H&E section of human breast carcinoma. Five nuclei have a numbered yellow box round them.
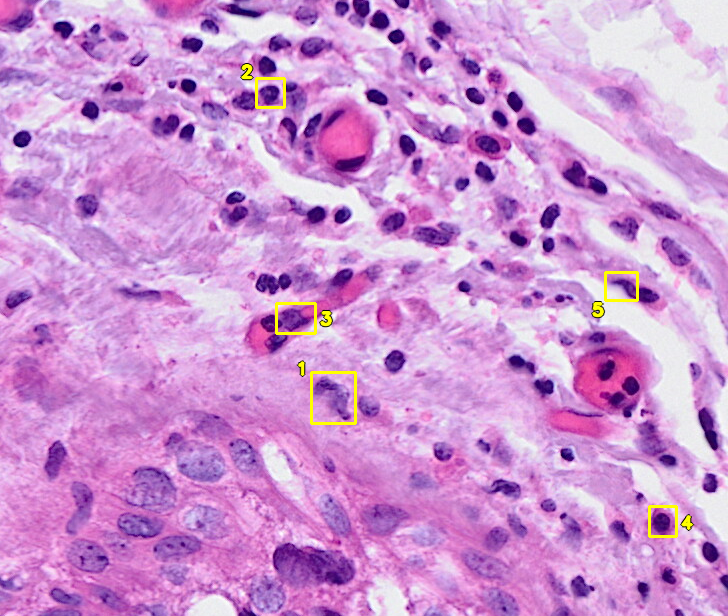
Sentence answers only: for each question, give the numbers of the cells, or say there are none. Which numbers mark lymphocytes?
Among the marked cells, cell number 2 alone is a lymphocyte.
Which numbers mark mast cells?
Just one of the numbered cells is a mast cell, namely number 4.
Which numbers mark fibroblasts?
The cells assigned the numbers 1 and 5 are fibroblasts.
